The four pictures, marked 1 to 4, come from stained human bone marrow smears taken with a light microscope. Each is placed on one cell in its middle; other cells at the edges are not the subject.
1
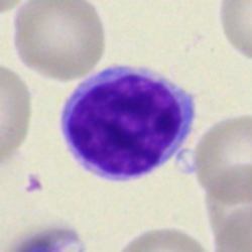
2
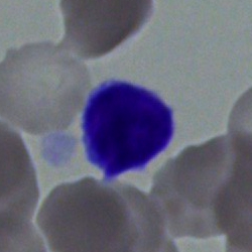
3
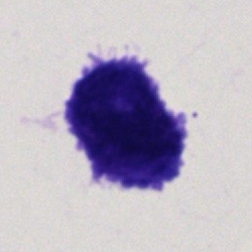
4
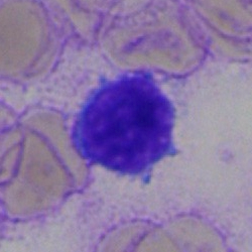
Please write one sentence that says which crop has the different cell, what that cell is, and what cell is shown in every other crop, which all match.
Whereas the other crops all show lymphocytes, crop 3 shows a blast.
